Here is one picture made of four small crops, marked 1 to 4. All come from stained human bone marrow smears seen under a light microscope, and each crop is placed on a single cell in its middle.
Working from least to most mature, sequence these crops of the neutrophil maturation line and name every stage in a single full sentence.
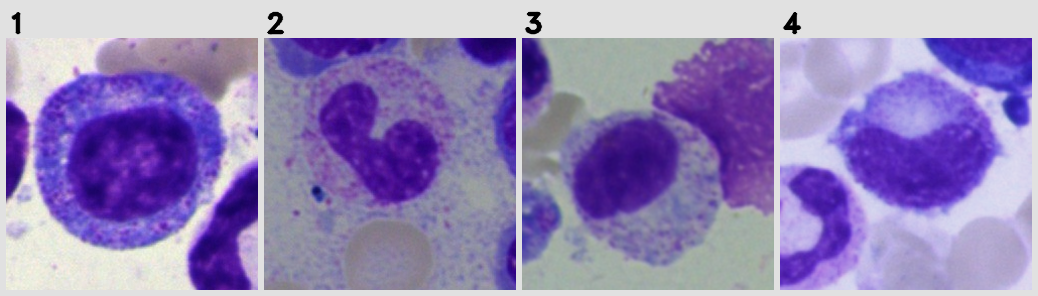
The order, going from least to most mature, is crop 1 (a promyelocyte), crop 3 (a myelocyte), crop 4 (a metamyelocyte) and crop 2 (a segmented neutrophil).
